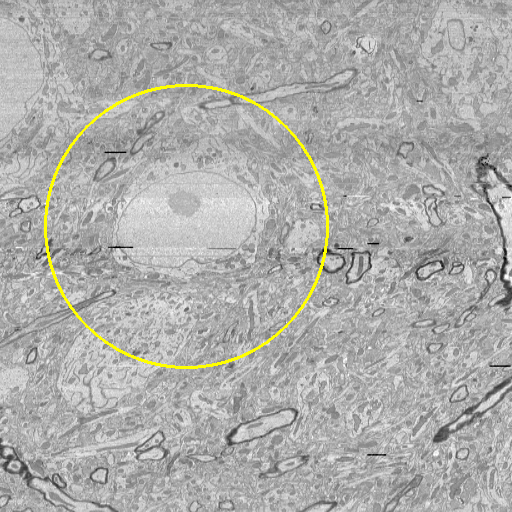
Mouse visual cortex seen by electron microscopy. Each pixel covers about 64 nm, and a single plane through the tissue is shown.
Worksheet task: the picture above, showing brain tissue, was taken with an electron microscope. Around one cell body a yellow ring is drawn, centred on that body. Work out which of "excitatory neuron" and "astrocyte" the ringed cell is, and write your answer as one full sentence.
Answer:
It is an excitatory neuron whose cell body lies at the centre of the yellow ring.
